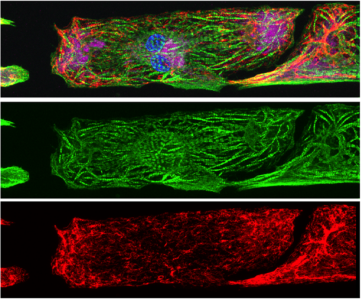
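In the green channel the contractile filaments run mostly along the long axis of the cells and show fine regular cross-striations in many places. The red channel shows a dense meshwork of filaments filling the cytoplasm and outlining the cells. Blue nuclei sit in the middle of the cells.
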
